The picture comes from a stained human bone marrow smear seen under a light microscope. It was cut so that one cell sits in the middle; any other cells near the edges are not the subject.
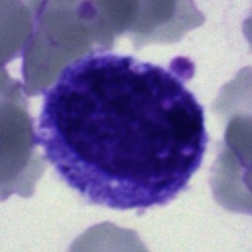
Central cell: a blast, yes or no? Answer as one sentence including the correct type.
No, the centre cell counts as a promyelocyte, not as a blast.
